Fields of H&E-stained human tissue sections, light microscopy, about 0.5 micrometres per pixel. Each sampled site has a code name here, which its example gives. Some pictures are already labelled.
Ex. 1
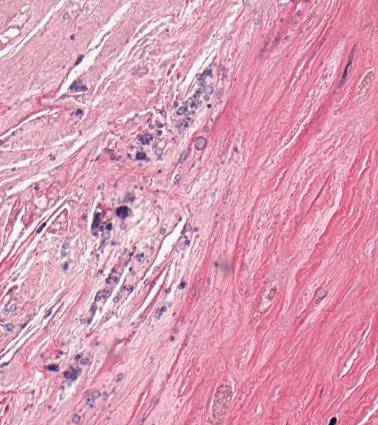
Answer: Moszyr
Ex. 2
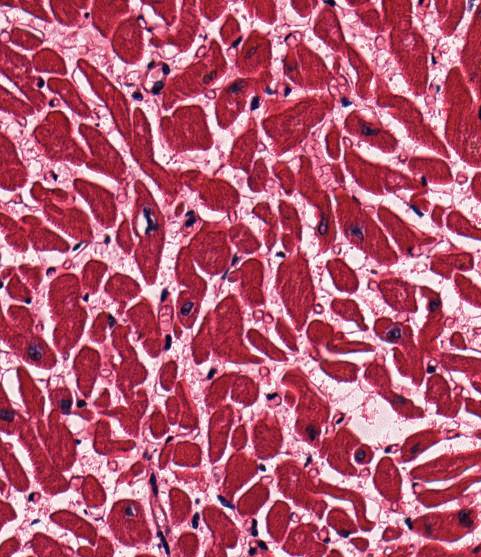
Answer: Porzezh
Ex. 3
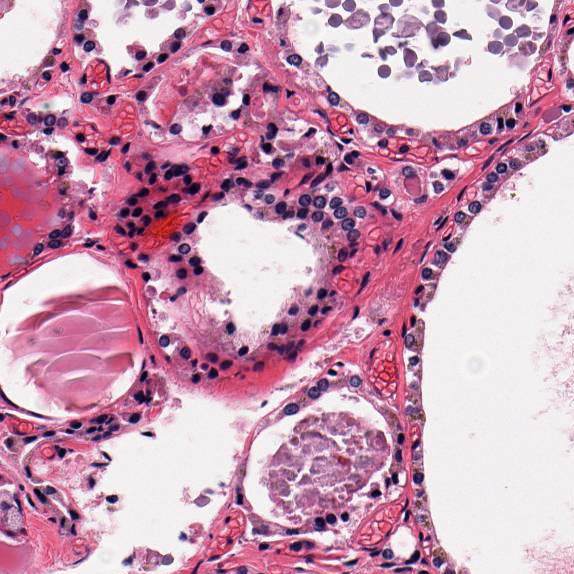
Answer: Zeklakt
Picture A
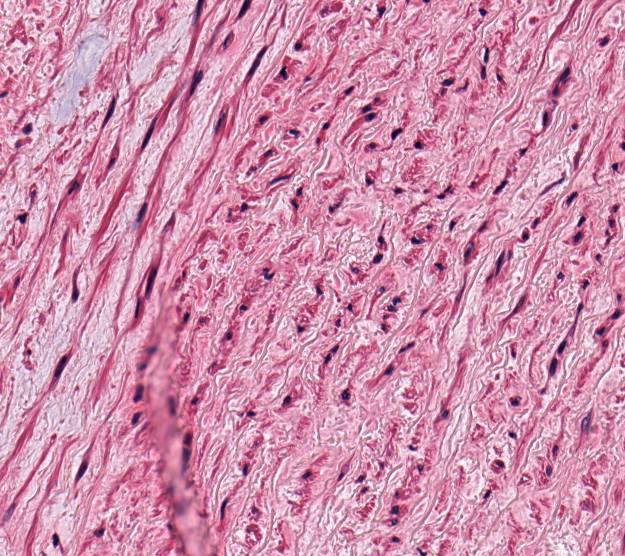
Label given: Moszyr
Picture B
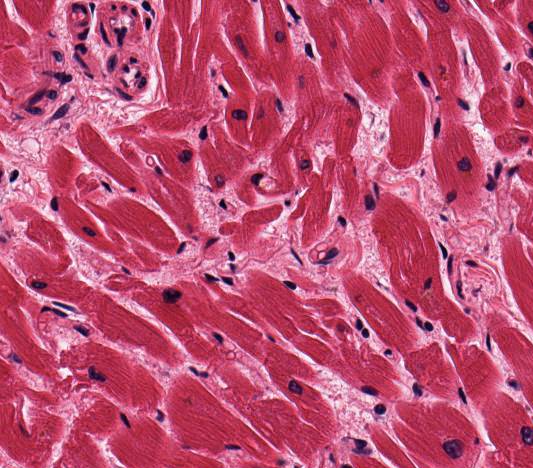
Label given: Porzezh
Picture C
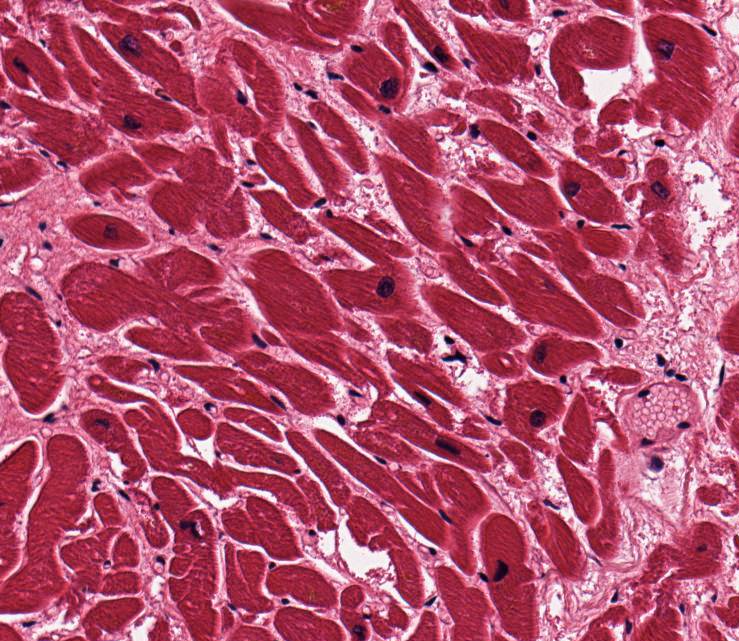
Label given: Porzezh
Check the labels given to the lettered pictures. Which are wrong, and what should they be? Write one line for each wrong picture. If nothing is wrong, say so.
All correct.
